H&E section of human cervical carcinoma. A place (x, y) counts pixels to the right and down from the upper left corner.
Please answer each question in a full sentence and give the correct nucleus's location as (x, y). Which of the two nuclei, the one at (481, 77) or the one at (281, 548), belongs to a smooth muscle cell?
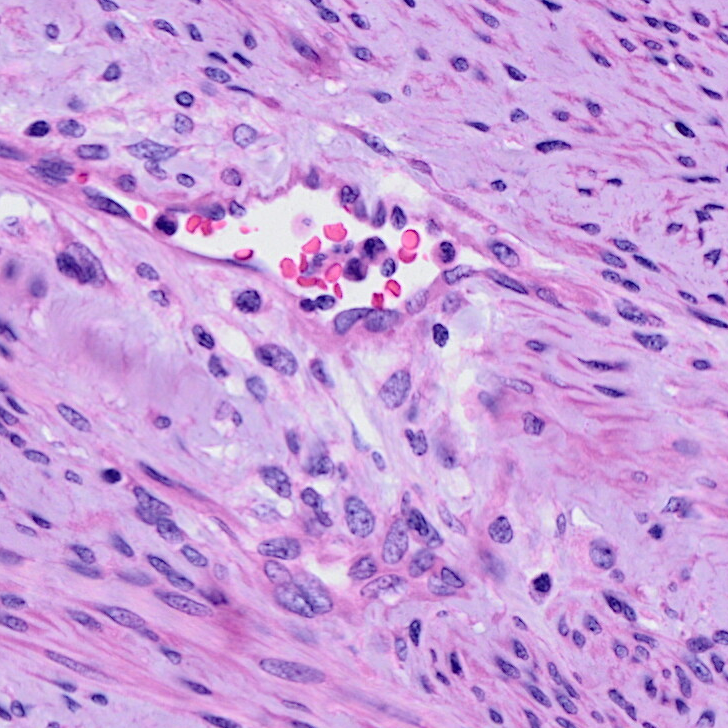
Of the two candidate nuclei, the one at (481, 77) is that of a smooth muscle cell.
